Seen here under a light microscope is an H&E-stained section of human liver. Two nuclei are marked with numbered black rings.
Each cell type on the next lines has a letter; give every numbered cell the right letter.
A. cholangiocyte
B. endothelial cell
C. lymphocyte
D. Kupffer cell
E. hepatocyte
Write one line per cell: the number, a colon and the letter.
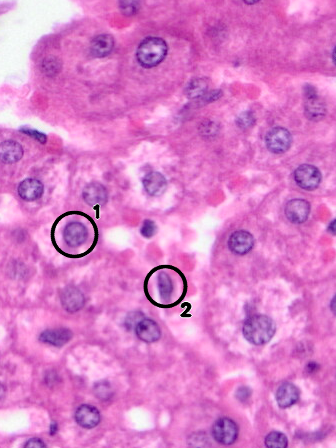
1: E
2: D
